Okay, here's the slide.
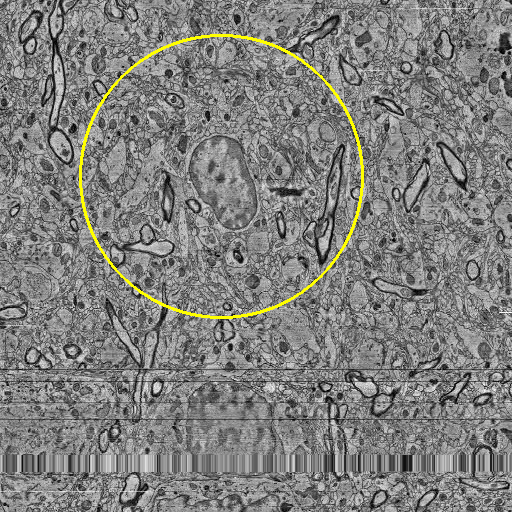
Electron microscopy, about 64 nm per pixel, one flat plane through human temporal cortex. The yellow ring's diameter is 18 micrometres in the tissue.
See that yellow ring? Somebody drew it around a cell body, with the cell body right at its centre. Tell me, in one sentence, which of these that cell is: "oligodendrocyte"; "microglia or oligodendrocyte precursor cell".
The cell in the middle of the ring is a microglial cell or oligodendrocyte precursor cell.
